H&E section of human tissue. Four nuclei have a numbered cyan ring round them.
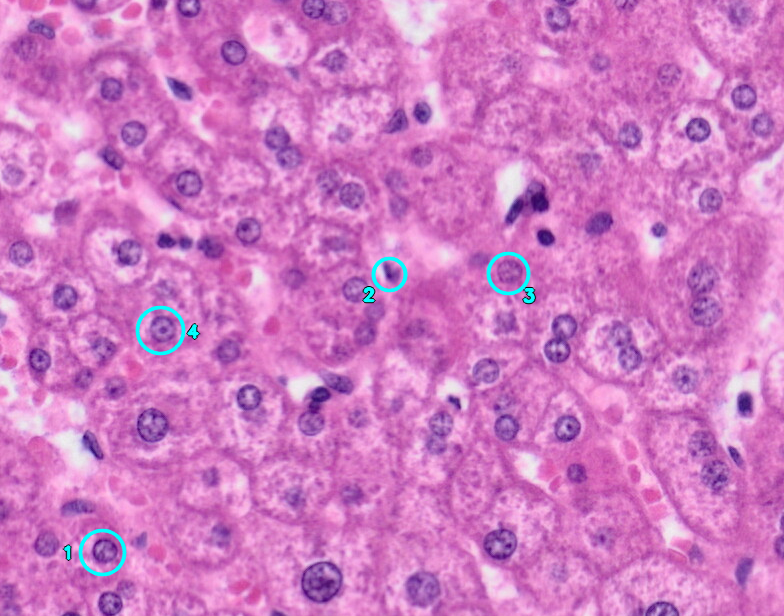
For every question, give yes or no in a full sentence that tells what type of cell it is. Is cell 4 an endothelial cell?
No, the cell given the number 4 is a hepatocyte, so not an endothelial cell.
